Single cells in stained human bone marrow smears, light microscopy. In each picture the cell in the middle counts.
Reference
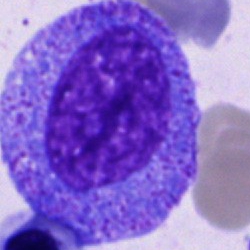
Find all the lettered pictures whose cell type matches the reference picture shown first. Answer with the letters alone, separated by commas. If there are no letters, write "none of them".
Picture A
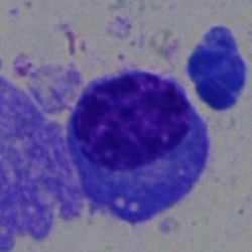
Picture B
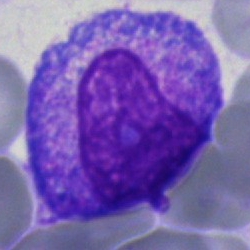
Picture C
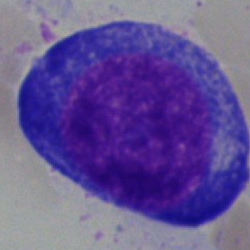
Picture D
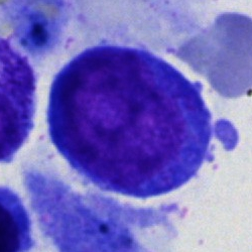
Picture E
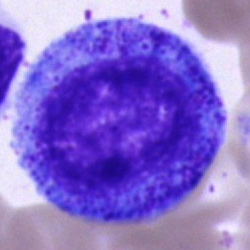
B, E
